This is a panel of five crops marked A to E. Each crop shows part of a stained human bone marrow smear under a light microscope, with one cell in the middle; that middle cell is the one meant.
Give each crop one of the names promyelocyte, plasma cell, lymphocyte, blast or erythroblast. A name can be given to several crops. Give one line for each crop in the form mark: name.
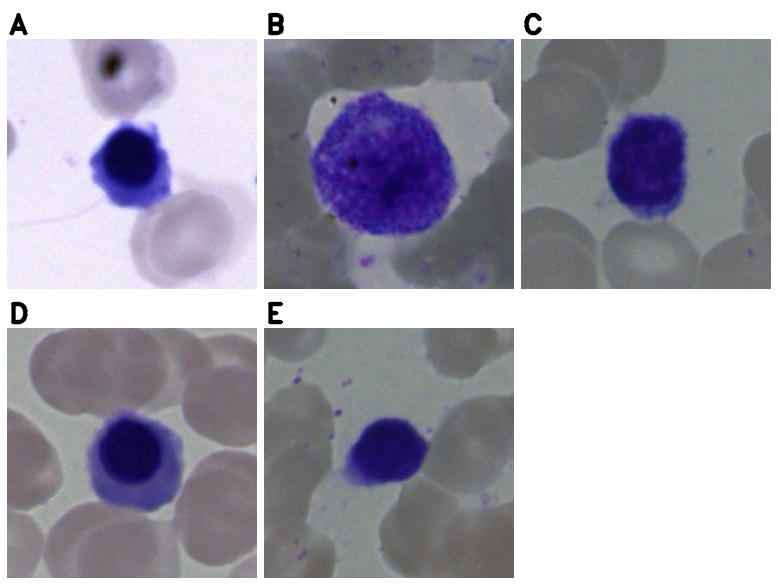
A: erythroblast
B: promyelocyte
C: lymphocyte
D: erythroblast
E: lymphocyte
